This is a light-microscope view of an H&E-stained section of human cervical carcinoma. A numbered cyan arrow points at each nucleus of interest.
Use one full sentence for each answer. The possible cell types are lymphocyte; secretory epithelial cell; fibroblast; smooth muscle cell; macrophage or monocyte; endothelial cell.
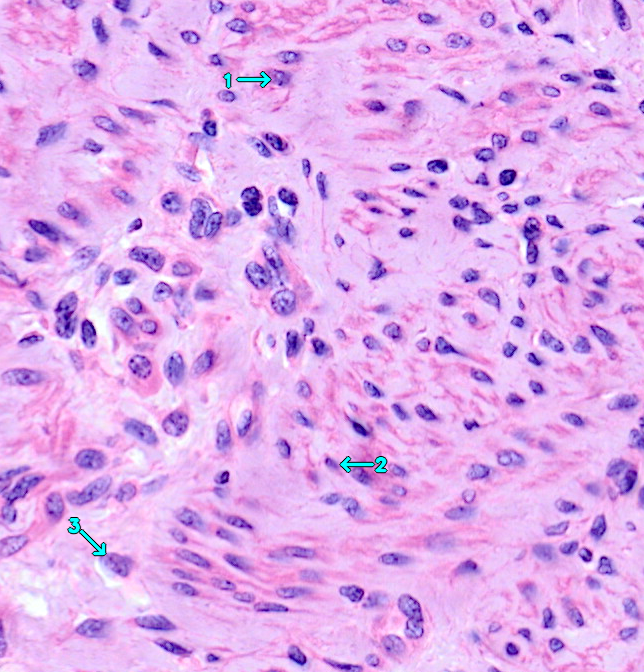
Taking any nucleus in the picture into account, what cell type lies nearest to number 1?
The cell nearest to number 1 is a smooth muscle cell.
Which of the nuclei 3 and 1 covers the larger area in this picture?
Of the two, number 3 is bigger and takes up about 2.5 times the area of number 1.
